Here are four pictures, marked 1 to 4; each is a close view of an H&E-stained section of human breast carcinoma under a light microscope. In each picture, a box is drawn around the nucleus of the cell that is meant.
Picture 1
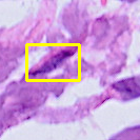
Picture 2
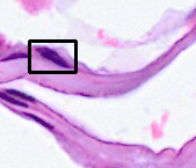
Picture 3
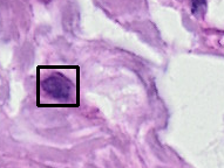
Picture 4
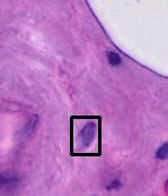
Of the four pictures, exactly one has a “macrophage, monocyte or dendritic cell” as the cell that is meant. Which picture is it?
3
